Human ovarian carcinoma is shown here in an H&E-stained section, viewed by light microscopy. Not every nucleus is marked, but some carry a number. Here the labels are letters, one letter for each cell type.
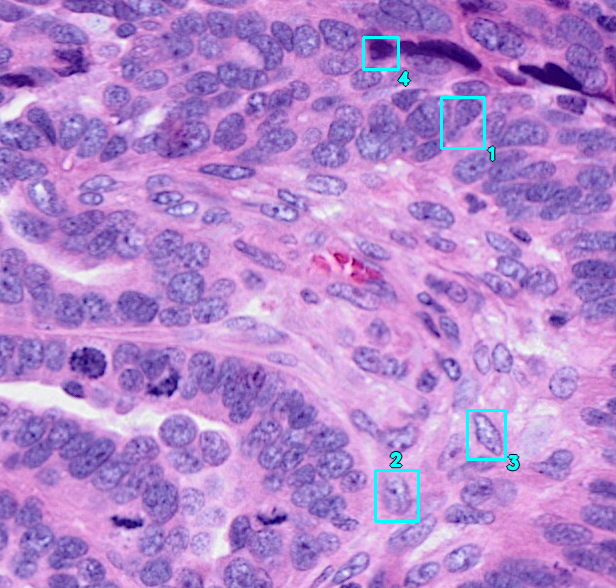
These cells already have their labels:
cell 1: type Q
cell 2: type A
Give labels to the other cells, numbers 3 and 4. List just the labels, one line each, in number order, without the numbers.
type A
type Q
